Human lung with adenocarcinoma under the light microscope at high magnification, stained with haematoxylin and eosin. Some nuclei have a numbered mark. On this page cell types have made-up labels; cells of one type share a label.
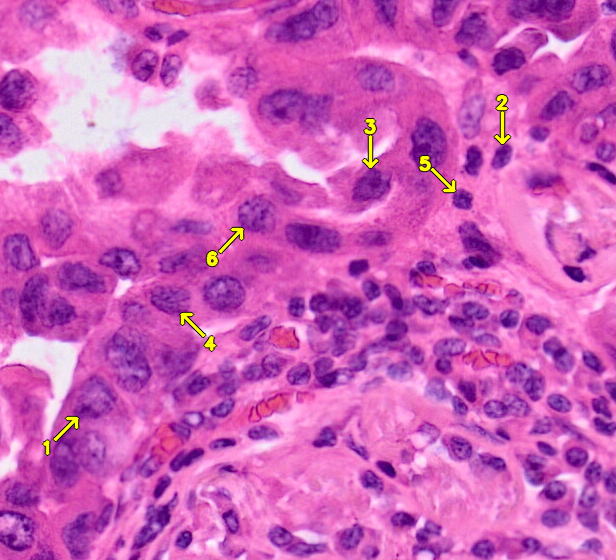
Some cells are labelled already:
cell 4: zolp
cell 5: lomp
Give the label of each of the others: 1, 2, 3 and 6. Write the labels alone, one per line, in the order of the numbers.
zolp
lomp
zolp
zolp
